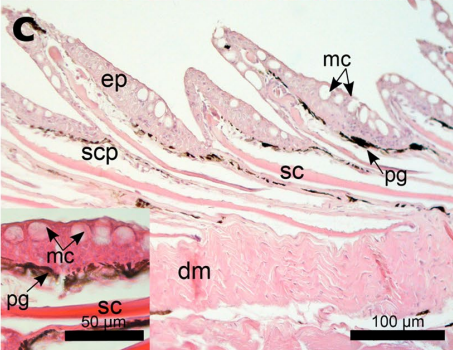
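This longitudinal section of fish skin shows overlapping scale pockets, each covered by epidermis, above a thick dermis. The epidermis holds many rounded, pale mucous cells with clear contents, set among small epithelial cells with purple nuclei. Thin pink scales lie obliquely within their pockets, and black-brown pigment granules gather just beneath the epidermis along the scales. Deeper down, the dermis is a thick layer of wavy, densely packed pink fibres.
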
